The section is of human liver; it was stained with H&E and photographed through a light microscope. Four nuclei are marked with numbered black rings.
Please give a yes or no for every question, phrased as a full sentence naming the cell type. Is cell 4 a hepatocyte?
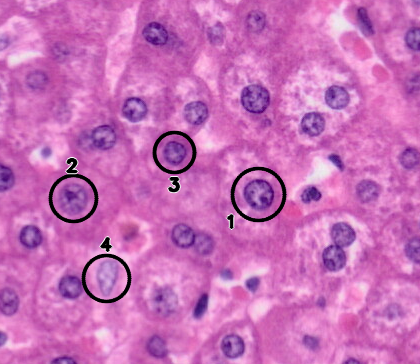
No, the cell numbered 4 is a Kupffer cell rather than a hepatocyte.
